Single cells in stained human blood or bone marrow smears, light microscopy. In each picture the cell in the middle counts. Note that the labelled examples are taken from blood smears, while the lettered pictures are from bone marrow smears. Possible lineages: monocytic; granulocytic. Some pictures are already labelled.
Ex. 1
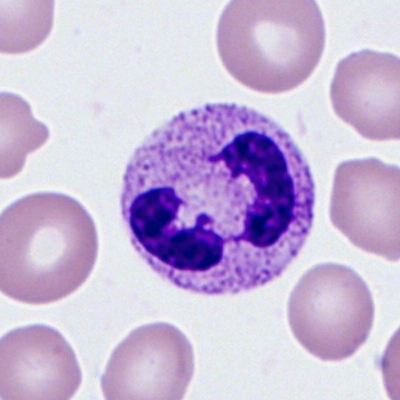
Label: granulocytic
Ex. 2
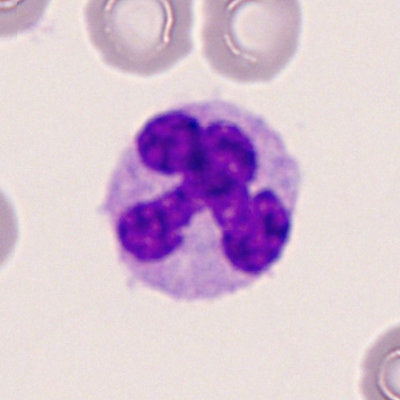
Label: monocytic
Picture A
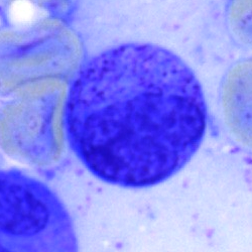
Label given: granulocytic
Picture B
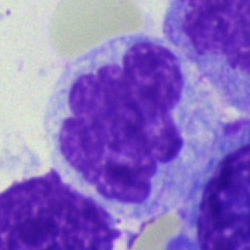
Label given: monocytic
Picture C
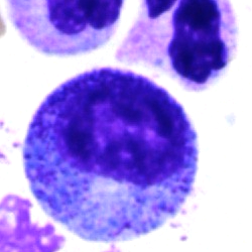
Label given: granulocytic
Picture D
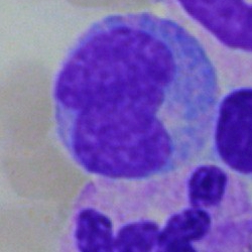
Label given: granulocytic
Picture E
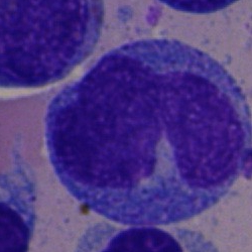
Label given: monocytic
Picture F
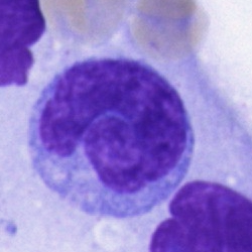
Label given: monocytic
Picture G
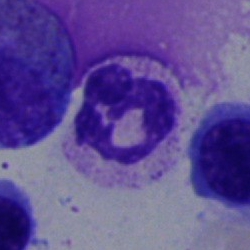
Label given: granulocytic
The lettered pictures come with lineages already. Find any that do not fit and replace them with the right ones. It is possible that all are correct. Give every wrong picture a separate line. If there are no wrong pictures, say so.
D is labelled granulocytic; correct label: monocytic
